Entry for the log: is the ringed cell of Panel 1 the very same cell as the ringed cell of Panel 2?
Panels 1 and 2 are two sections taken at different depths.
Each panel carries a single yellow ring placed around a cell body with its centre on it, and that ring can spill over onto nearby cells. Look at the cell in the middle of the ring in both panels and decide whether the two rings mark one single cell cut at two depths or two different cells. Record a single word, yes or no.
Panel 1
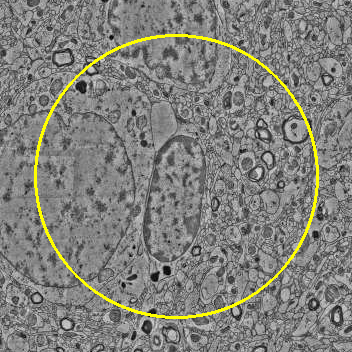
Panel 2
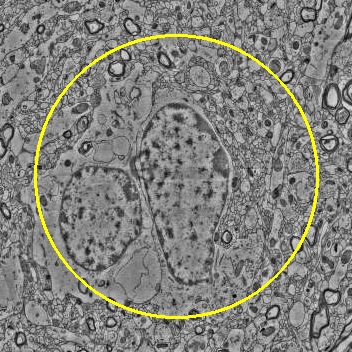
no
